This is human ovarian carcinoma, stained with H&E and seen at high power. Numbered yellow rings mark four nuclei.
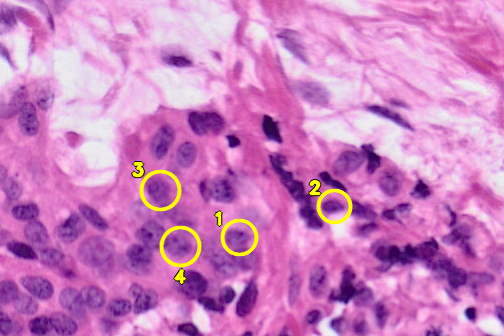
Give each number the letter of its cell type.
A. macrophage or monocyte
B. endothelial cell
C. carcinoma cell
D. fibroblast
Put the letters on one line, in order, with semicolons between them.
C; A; C; C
